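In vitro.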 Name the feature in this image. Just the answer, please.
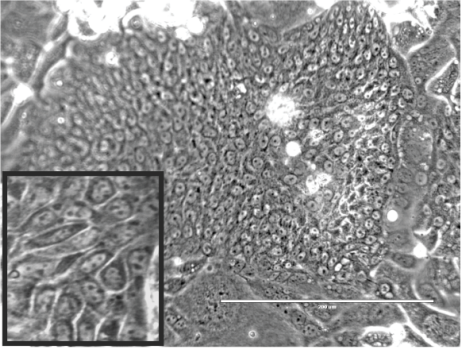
tightly packed colony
